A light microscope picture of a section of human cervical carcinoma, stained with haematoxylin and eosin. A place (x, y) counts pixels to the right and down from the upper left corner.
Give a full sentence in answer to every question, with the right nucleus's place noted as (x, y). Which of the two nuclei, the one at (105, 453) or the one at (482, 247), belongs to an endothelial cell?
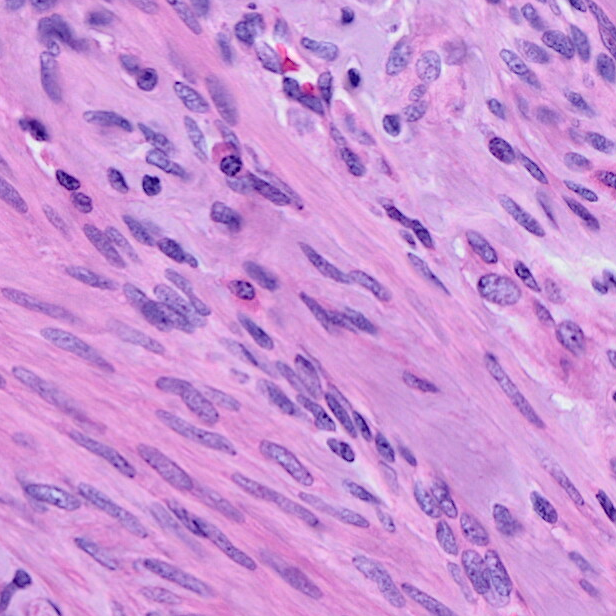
The nucleus located at (482, 247) is the one held within an endothelial cell.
